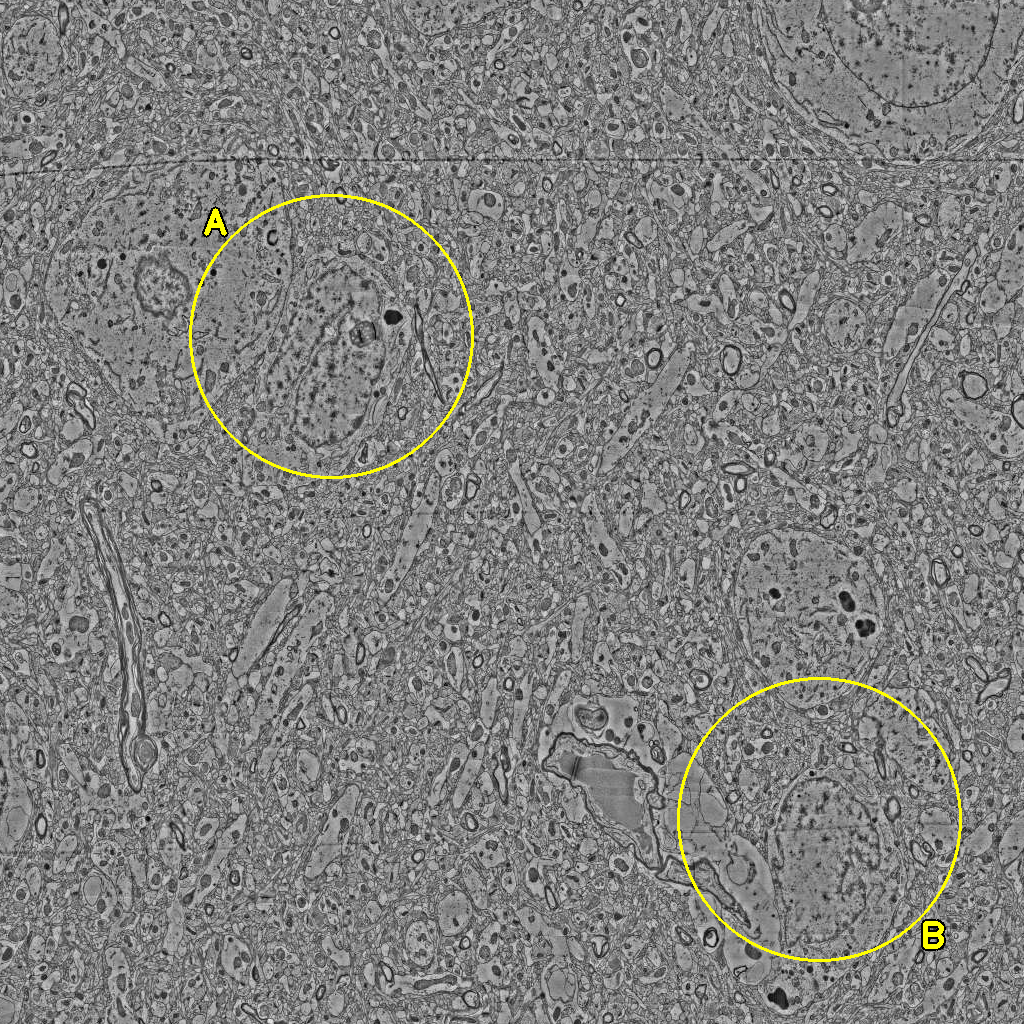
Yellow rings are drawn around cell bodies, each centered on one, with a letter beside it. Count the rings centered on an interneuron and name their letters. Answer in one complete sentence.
Altogether, two rings are centred on an interneuron apiece, namely the ones carrying the letters A and B.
